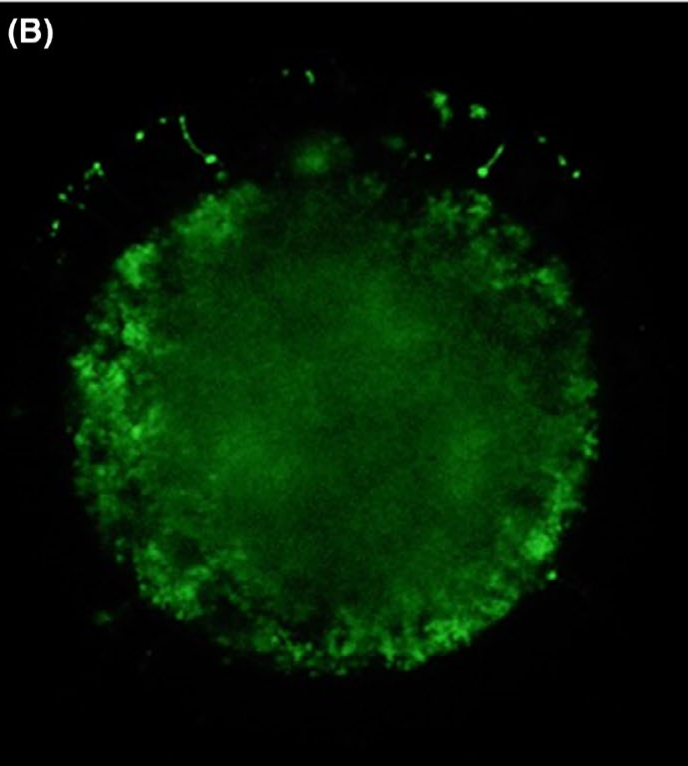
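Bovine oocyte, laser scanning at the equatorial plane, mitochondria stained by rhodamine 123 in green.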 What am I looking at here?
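A large round cell in optical section shows green fluorescence spread over its whole interior: a soft, fairly even haze fills the centre, while the outer margin is made of coarser, brighter granules and clumps giving a ragged edge. There is no dark empty core. Above the cell, outside its border, lie small bright green dots and short curved threads.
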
